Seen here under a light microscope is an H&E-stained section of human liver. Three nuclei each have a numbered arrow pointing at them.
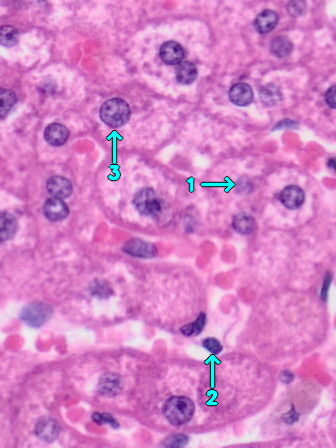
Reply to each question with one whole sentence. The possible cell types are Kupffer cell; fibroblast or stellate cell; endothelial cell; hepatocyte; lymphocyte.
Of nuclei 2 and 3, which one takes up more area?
Nucleus 3 is the larger one, covering about 2.5 times the area of nucleus 2.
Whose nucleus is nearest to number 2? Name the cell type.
Closest to number 2 lies the nucleus of a fibroblast or stellate cell.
